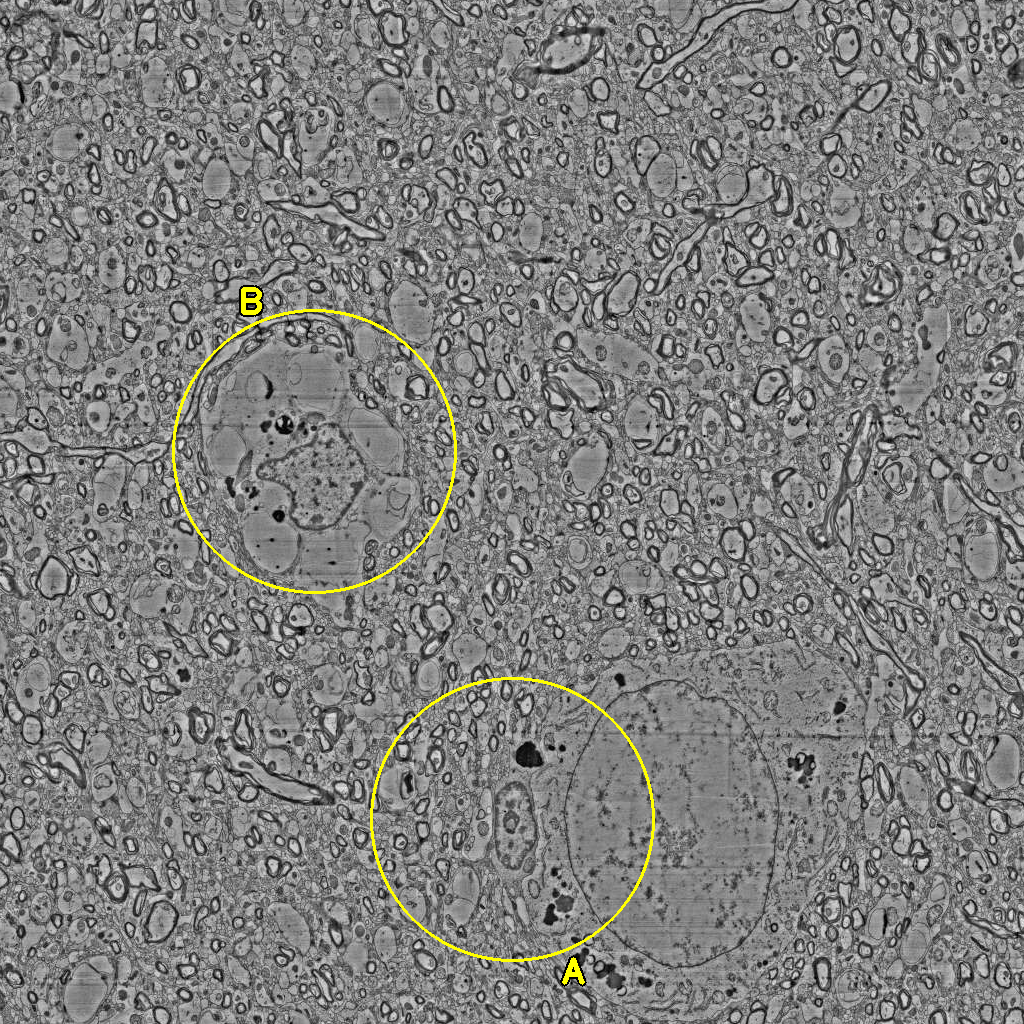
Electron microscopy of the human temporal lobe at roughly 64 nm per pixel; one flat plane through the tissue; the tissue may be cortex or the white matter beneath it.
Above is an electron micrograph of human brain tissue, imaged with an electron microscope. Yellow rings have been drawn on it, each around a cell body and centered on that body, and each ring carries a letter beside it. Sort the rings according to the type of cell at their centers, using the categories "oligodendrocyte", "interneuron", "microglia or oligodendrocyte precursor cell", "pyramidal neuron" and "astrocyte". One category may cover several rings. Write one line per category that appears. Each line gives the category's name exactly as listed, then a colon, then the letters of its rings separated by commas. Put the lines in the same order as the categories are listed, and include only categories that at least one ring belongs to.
oligodendrocyte: A
astrocyte: B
